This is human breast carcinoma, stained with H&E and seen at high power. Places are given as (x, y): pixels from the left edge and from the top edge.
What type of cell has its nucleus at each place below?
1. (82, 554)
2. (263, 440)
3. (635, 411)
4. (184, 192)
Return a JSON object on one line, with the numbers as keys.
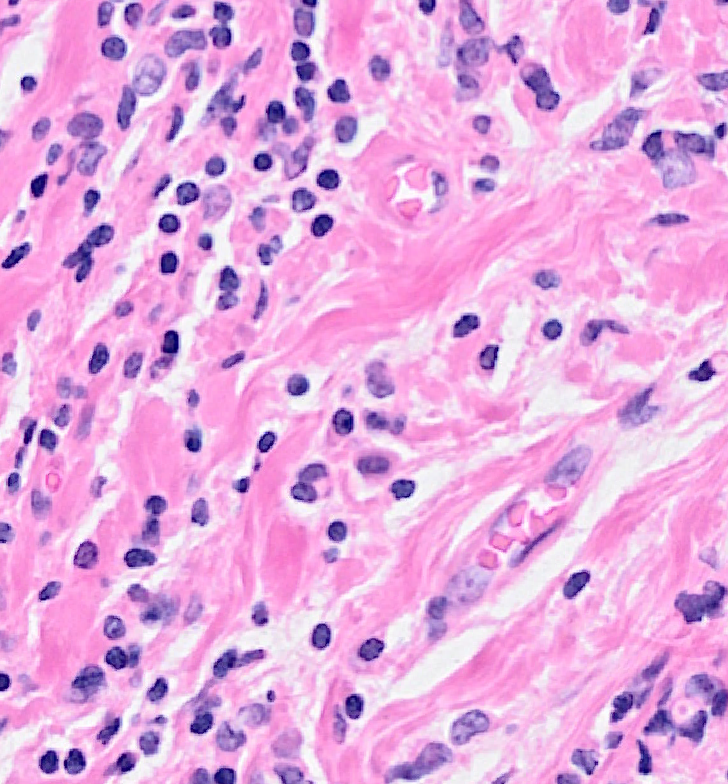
{"1": "lymphocyte", "2": "lymphocyte", "3": "fibroblast", "4": "lymphocyte"}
